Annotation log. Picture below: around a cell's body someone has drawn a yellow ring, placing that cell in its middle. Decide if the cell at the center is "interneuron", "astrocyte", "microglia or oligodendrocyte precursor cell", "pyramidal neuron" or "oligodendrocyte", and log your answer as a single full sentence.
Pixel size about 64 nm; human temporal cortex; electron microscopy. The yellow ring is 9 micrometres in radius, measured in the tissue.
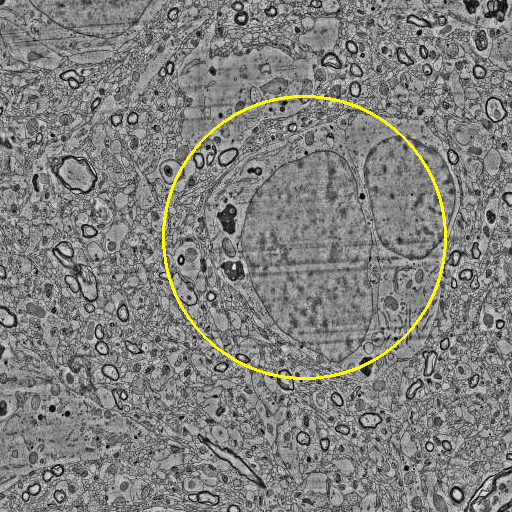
My entry records a pyramidal neuron as the cell sitting at the center of the yellow ring.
